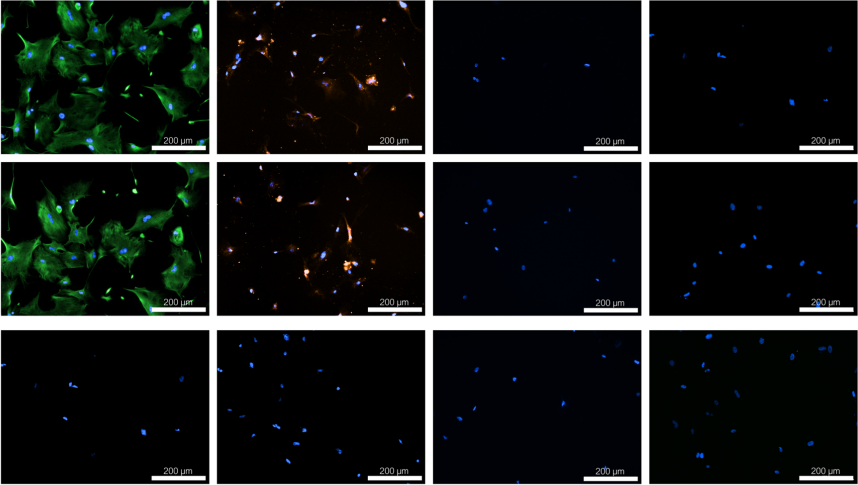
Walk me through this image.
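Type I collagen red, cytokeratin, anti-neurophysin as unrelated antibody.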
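In the first column, cells of the top two rows are broad and flat, with irregular stellate or spindle outlines and long tapering processes, their cytoplasm filled with a fine green filament network. In the second column, patchy red-orange deposits sit around and over some cells, brightest in clumps. The remaining columns and the bottom row show only blue nuclei on a dark field, with no colour in the cytoplasm.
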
